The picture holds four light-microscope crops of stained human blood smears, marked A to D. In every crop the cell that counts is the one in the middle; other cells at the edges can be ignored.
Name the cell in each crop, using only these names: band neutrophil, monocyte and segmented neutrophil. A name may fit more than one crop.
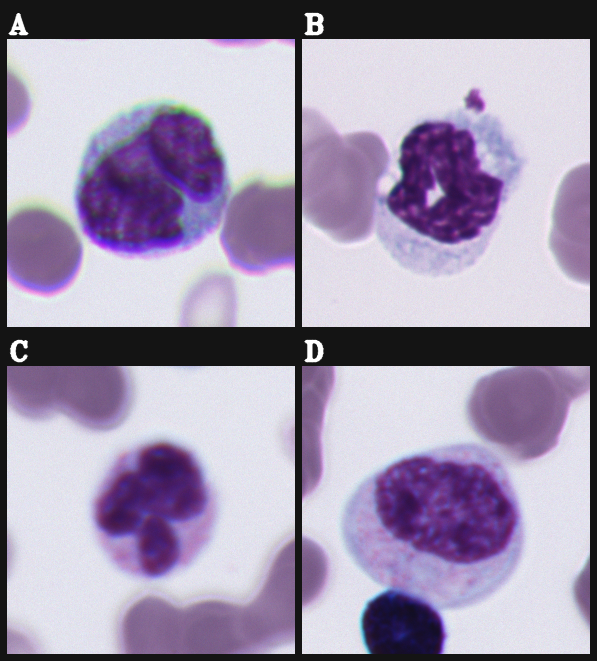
A: monocyte
B: monocyte
C: segmented neutrophil
D: band neutrophil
